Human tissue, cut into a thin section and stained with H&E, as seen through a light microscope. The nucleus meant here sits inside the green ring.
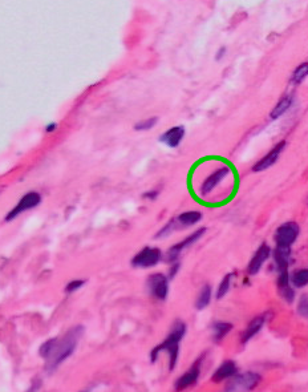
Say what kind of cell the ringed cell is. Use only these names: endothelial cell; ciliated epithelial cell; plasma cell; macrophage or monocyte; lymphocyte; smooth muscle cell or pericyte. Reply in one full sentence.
It is as an endothelial cell that the ringed cell is recorded.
